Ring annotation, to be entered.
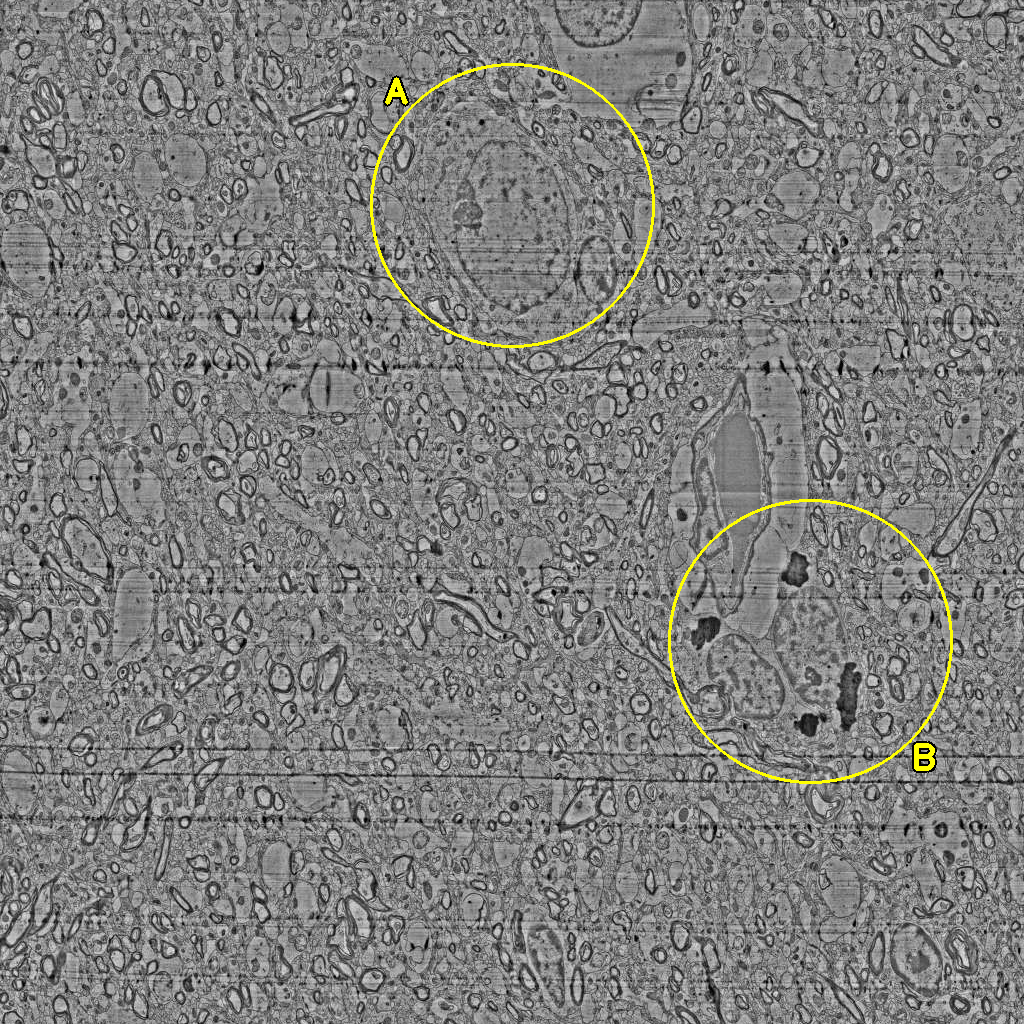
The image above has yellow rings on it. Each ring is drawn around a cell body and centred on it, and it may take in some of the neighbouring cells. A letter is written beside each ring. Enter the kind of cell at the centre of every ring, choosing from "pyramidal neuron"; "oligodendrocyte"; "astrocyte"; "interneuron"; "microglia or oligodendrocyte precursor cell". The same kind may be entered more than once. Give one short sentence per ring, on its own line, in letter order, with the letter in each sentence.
The ring marked A is centred on an interneuron.
The ring marked B is centred on an oligodendrocyte.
